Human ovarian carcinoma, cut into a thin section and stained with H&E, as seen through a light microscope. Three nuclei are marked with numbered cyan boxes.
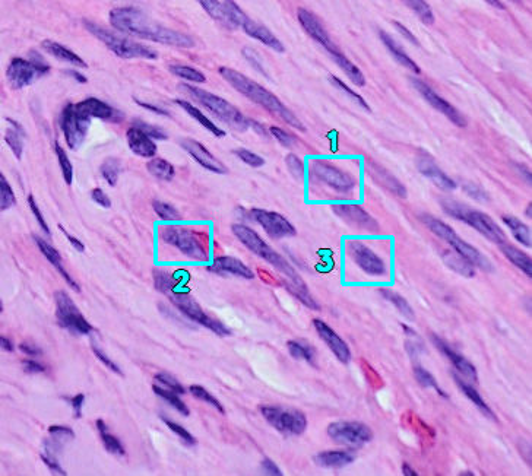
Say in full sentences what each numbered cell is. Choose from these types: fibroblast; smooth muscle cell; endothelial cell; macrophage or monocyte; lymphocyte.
Cell 1 is a smooth muscle cell, cell 2 is an endothelial cell and cell 3 is a smooth muscle cell.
